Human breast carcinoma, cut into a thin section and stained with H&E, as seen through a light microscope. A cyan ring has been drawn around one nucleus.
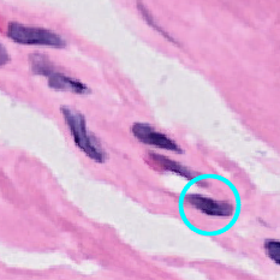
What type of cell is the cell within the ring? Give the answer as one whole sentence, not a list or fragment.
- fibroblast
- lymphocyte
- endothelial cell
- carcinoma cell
On this particular slide, the cell within the ring is an endothelial cell.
